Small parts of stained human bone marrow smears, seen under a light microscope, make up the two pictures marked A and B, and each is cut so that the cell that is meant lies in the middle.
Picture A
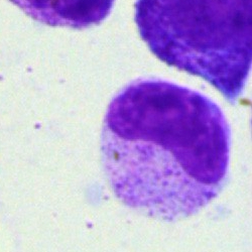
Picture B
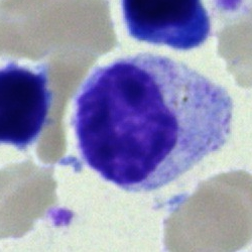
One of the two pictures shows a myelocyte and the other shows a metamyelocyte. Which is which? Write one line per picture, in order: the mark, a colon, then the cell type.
A: metamyelocyte
B: myelocyte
